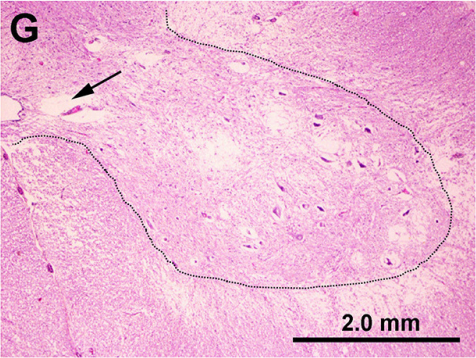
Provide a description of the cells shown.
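Spinal cord gray matter at low magnification, with a pale, loosely textured region bordered by denser pink fibrous tissue. A clear, rounded empty space lies near the upper left edge of the pale region. The neuropil of the pale region looks rarefied and patchily cleared.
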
